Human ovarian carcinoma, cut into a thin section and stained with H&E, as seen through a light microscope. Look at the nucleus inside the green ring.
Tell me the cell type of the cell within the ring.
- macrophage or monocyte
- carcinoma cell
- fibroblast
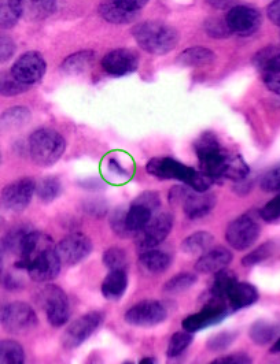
macrophage or monocyte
